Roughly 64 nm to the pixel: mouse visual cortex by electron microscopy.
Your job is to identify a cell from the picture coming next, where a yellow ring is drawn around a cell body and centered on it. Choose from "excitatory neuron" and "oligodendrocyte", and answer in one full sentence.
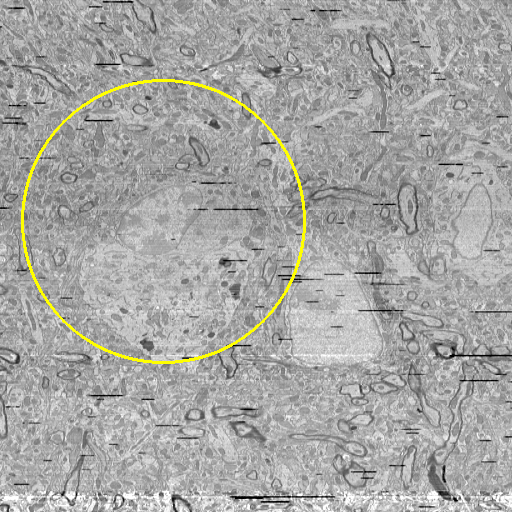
Centered in the yellow ring of the picture is the body of an oligodendrocyte.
